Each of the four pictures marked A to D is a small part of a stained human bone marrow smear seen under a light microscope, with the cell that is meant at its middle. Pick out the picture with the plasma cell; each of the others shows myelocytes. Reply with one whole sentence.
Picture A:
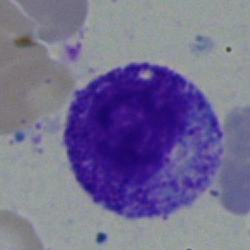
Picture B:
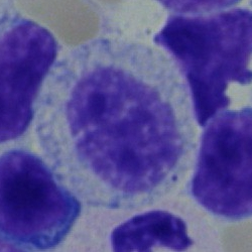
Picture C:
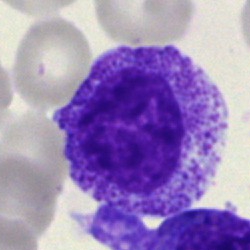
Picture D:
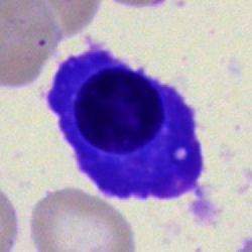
The cell in picture D is the plasma cell.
